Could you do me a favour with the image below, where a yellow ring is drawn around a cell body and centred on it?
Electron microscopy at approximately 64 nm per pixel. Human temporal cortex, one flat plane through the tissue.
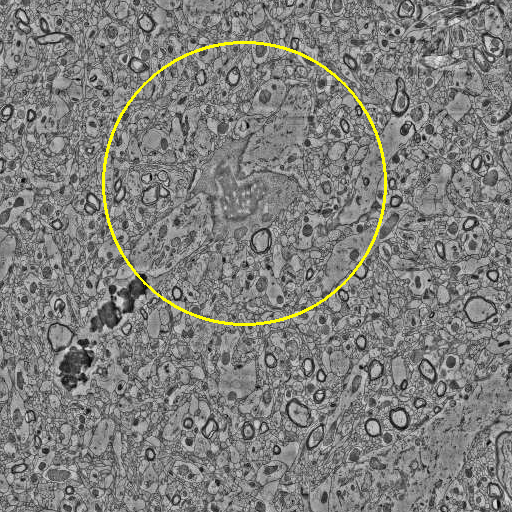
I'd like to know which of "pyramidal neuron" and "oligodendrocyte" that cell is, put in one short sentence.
The cell at the ring's centre is an oligodendrocyte.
